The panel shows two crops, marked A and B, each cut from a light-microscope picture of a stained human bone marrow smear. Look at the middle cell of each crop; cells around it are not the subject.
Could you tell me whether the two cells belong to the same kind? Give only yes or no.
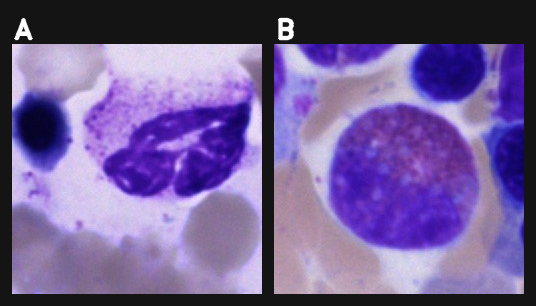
no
